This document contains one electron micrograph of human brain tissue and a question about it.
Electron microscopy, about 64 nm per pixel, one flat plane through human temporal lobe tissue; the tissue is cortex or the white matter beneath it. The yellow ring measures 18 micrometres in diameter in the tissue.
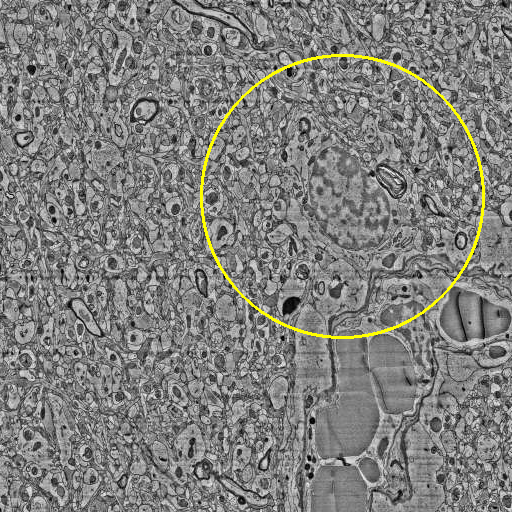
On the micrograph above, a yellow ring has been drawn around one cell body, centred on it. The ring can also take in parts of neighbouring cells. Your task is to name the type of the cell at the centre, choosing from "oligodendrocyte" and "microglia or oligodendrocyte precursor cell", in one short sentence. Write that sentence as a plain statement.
Here the ring is centred on an oligodendrocyte.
